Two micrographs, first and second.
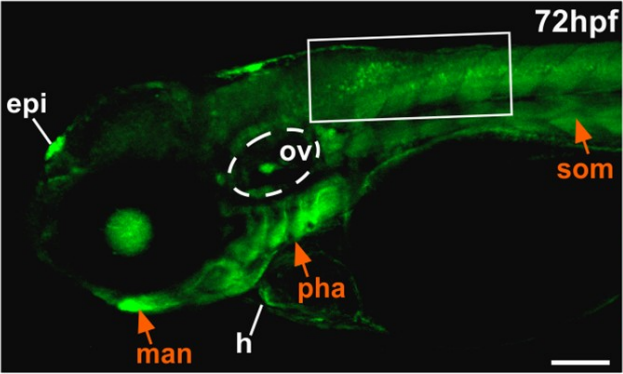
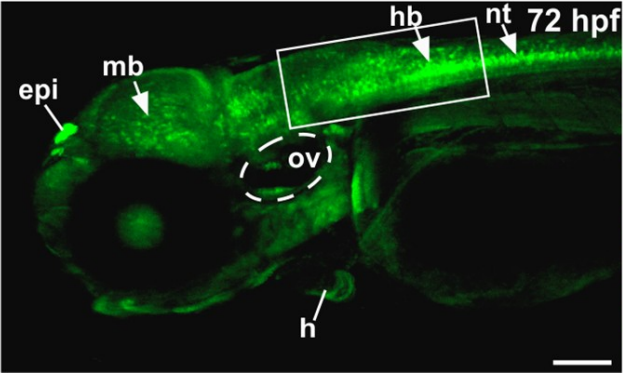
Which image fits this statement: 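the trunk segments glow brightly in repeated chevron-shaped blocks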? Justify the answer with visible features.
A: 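Second image: the trunk shows a bright dorsal band but no bright chevron-shaped segments. First image: the trunk shows bright repeated chevron-shaped blocks along its length. The answer: the first image.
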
